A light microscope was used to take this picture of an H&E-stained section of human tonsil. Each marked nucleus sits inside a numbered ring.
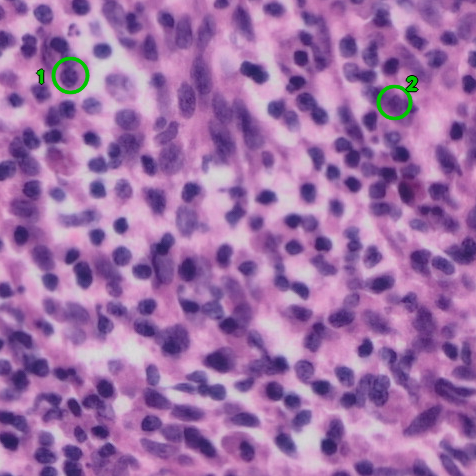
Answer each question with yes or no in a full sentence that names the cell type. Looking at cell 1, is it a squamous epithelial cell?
No, cell 1 is correctly identified as a plasma cell and not as a squamous epithelial cell.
